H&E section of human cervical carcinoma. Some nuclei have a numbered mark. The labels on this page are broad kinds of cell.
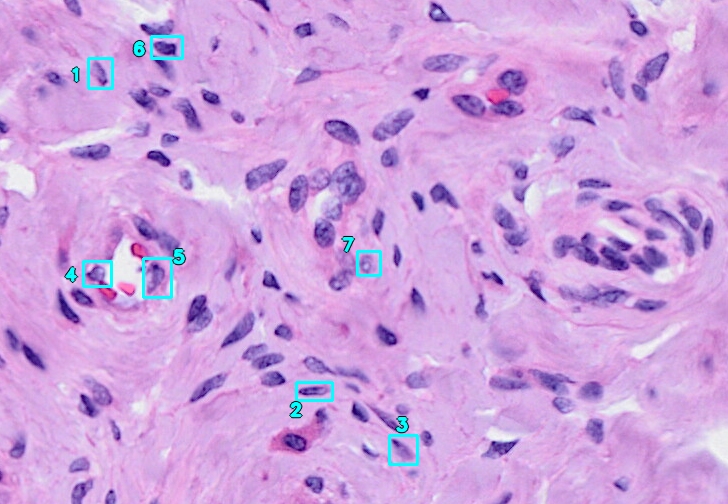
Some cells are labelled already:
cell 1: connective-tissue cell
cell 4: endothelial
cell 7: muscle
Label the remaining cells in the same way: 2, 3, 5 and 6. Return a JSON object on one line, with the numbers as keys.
{"2": "connective-tissue cell", "3": "connective-tissue cell", "5": "endothelial", "6": "connective-tissue cell"}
